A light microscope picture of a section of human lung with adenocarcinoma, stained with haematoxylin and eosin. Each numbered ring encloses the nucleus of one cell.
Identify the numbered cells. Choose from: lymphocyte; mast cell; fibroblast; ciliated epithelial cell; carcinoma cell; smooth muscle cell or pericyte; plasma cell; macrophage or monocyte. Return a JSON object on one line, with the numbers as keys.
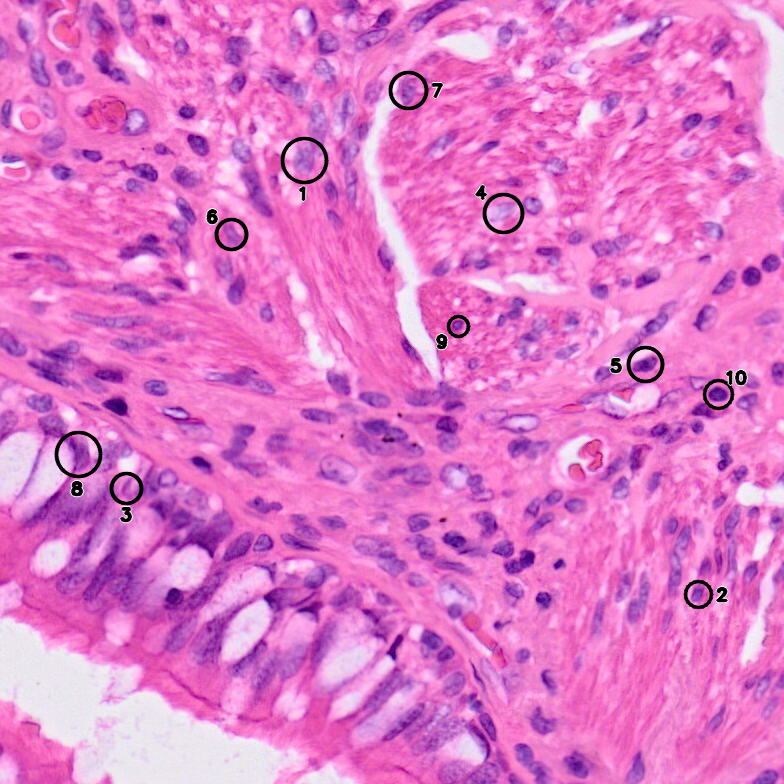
{"1": "smooth muscle cell or pericyte", "2": "smooth muscle cell or pericyte", "3": "ciliated epithelial cell", "4": "smooth muscle cell or pericyte", "5": "lymphocyte", "6": "smooth muscle cell or pericyte", "7": "smooth muscle cell or pericyte", "8": "ciliated epithelial cell", "9": "smooth muscle cell or pericyte", "10": "lymphocyte"}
